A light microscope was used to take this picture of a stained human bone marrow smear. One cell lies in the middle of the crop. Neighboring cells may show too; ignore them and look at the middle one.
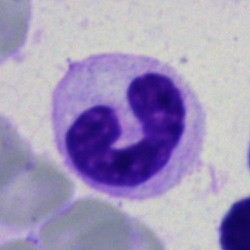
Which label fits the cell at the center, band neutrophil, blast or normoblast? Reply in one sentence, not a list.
The cell occupying the middle of the crop is a band neutrophil.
